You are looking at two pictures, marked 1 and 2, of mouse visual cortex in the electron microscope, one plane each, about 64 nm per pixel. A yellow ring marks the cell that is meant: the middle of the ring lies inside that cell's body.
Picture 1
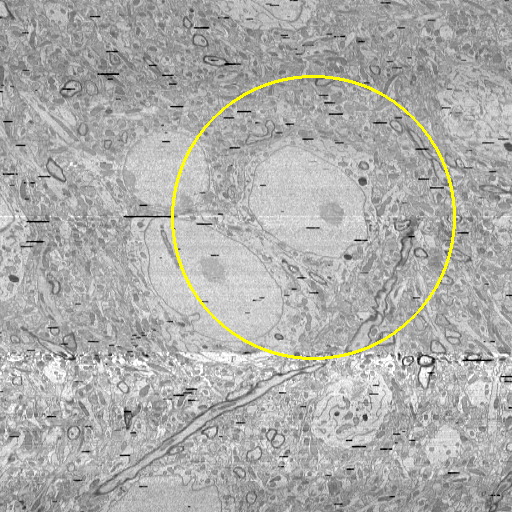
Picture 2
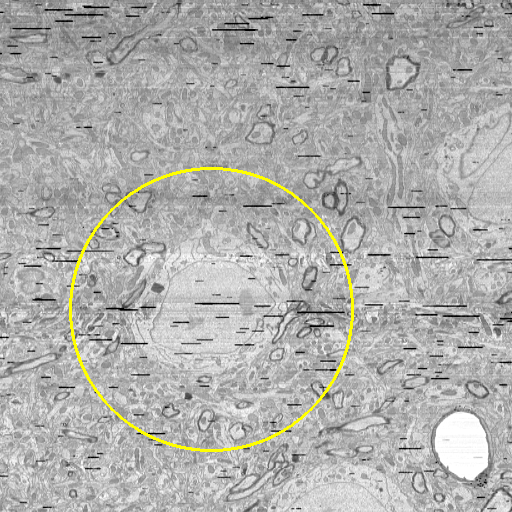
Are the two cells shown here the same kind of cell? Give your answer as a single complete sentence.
Yes, they are the same type: both are excitatory neurons.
